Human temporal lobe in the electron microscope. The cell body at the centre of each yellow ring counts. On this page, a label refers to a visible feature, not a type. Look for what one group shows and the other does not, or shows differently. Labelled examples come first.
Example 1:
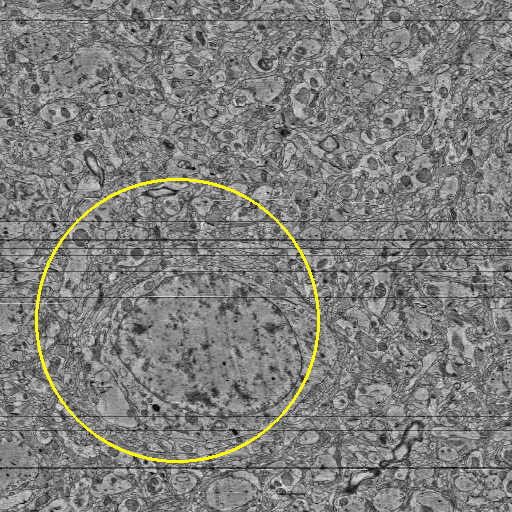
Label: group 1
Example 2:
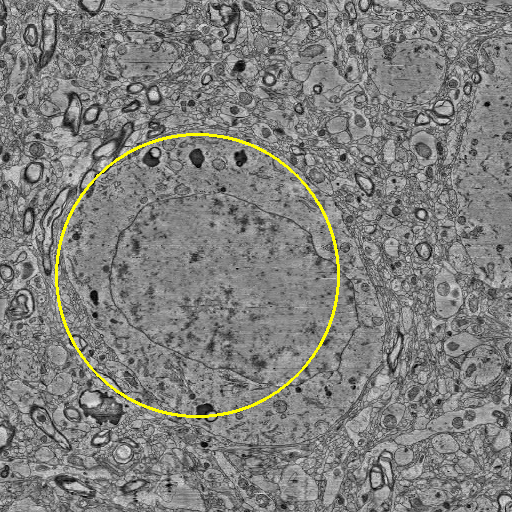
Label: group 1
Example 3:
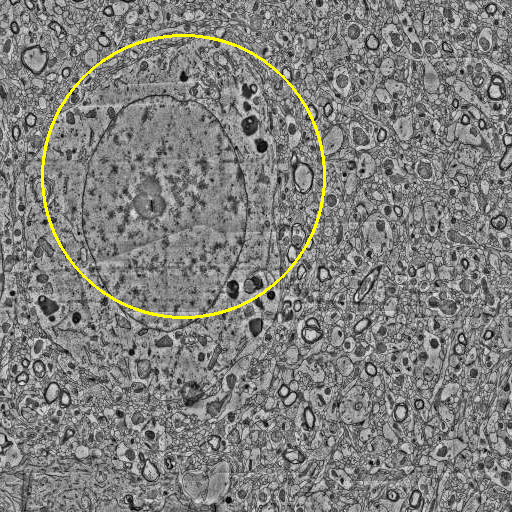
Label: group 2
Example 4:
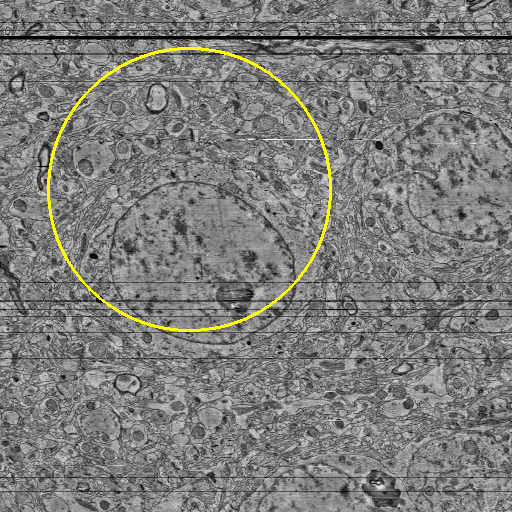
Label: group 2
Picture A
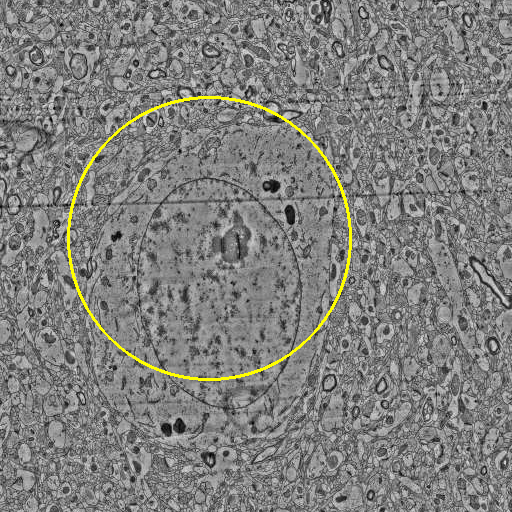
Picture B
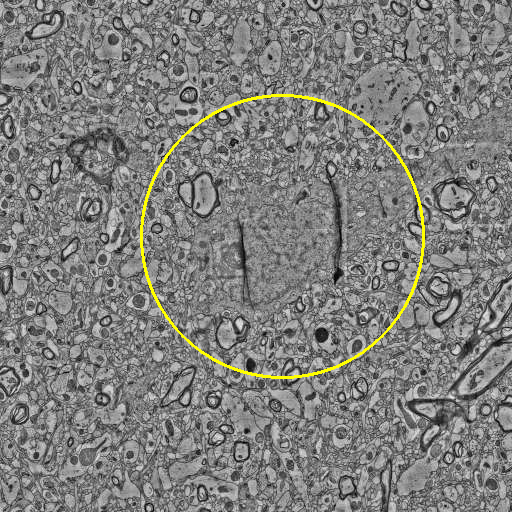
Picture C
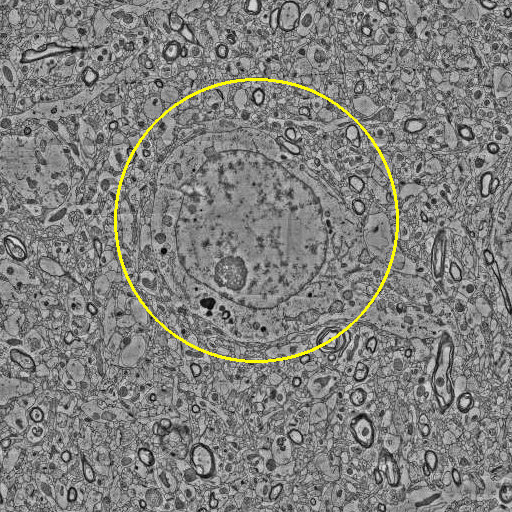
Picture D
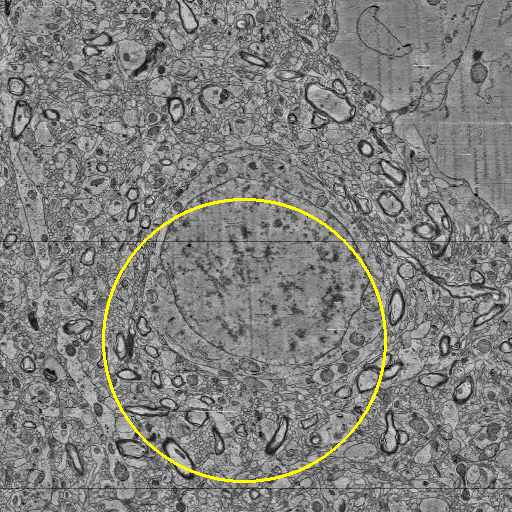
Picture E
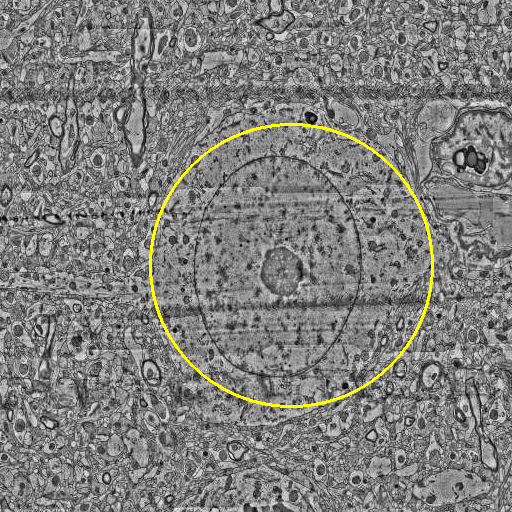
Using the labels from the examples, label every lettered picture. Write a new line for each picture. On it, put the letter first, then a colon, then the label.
A: group 2
B: group 1
C: group 2
D: group 1
E: group 2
